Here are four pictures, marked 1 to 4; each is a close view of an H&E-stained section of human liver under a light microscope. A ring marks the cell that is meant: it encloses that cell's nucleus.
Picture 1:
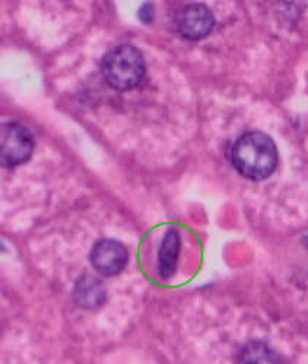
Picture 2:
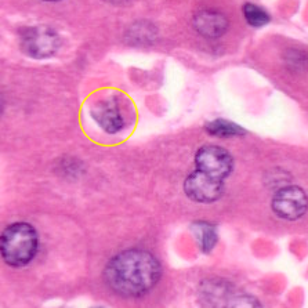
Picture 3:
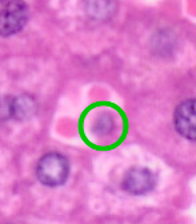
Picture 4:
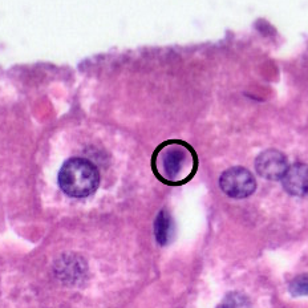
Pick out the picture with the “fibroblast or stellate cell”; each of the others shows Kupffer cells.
4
